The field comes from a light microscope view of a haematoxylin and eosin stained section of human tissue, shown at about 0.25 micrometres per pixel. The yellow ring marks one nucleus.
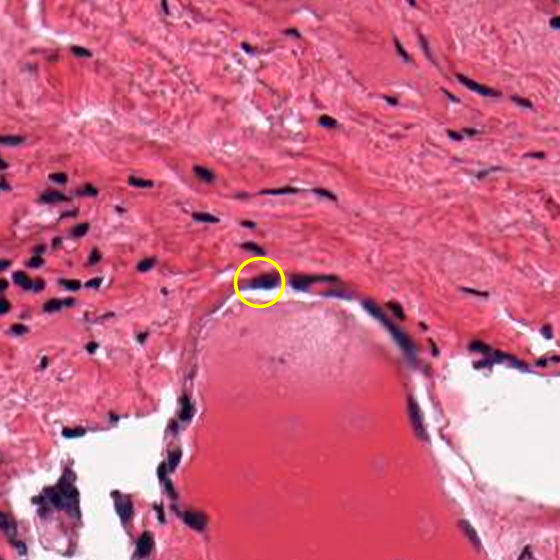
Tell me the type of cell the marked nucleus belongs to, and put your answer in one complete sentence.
The nucleus marked in this picture belongs to a thyroid follicular cell.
